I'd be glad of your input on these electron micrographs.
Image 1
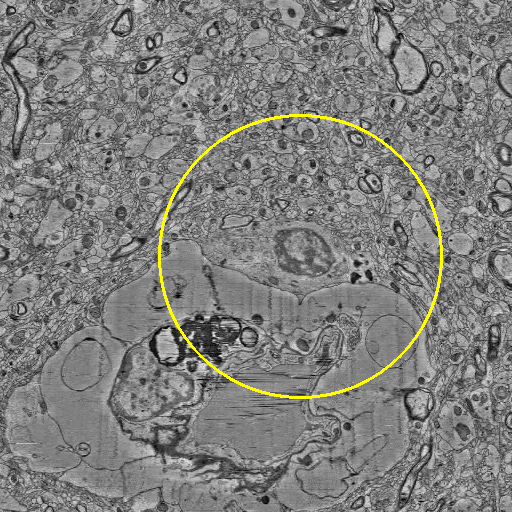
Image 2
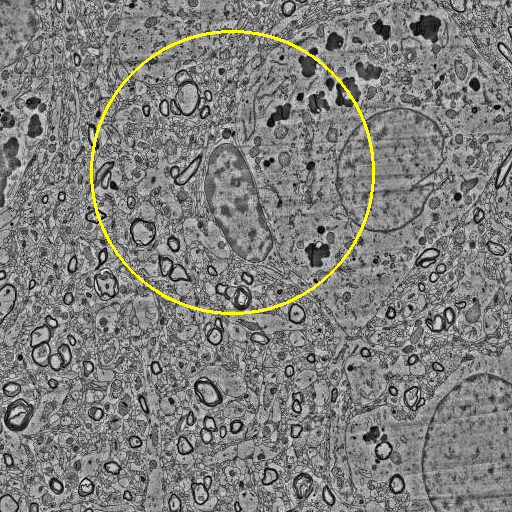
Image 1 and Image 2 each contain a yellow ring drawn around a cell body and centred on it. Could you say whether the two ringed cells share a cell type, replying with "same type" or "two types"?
two types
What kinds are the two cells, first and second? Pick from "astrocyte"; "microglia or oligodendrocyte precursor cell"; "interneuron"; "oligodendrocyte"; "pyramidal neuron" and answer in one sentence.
The second picture holds a microglial cell or oligodendrocyte precursor cell in its ring, and the first holds an oligodendrocyte.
